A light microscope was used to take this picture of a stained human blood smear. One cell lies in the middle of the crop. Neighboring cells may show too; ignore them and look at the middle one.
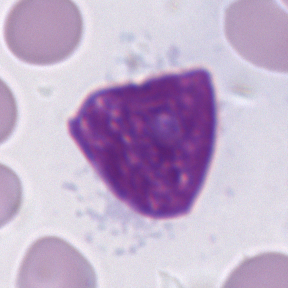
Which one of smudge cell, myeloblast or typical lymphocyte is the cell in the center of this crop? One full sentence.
The centrally located cell in the crop is a smudge cell.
